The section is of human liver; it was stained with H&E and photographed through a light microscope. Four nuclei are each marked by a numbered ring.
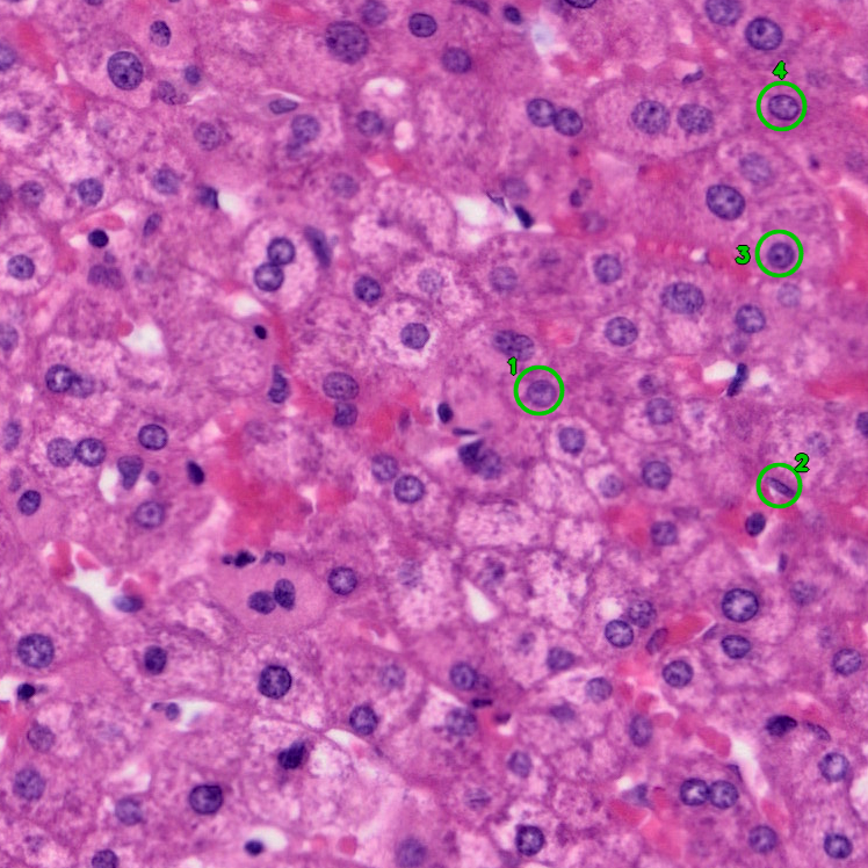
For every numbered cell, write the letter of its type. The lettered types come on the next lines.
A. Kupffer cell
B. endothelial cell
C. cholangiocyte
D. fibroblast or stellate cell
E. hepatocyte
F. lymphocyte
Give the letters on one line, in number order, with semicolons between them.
E; B; E; E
